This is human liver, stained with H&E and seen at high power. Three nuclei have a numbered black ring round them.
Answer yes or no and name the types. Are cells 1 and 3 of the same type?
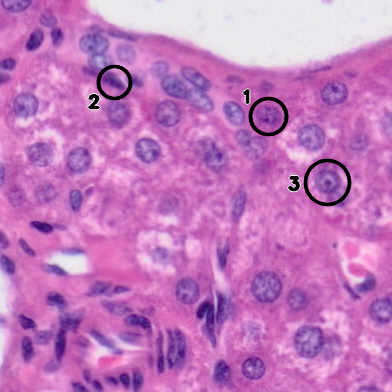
No, cell 1 is a cholangiocyte and cell 3 is a hepatocyte.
